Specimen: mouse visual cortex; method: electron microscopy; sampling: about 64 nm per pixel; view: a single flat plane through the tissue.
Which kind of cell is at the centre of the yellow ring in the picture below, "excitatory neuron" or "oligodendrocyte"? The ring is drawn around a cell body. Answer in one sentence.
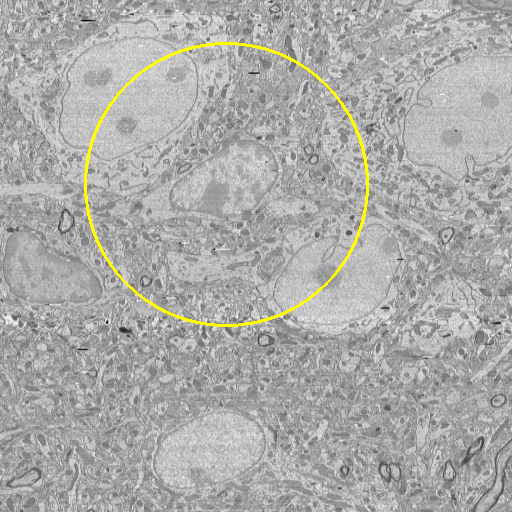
The ring's central cell is an oligodendrocyte.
